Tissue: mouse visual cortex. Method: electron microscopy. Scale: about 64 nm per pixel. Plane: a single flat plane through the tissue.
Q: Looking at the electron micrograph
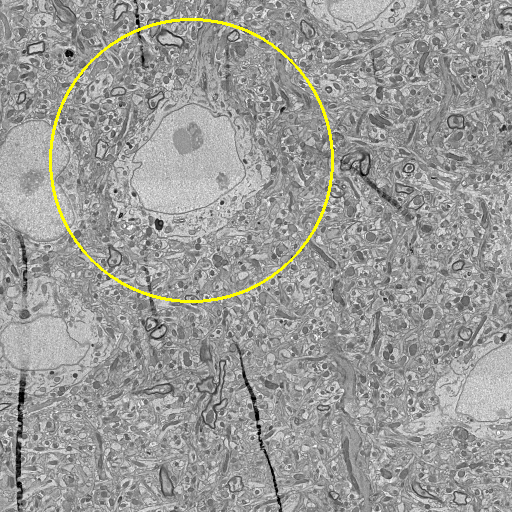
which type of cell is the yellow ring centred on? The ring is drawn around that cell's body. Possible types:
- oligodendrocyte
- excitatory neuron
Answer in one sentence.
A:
The yellow ring is centred on an excitatory neuron.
